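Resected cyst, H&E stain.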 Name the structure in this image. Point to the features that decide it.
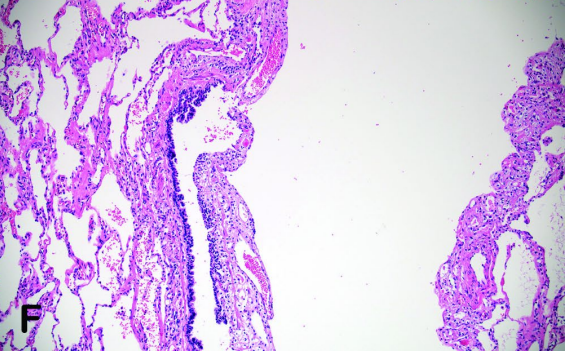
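Bronchiolar connection. An airway lined by epithelium with crowded dark nuclei opens next to a large empty space. Thin-walled alveolar lung tissue lies on either side.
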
